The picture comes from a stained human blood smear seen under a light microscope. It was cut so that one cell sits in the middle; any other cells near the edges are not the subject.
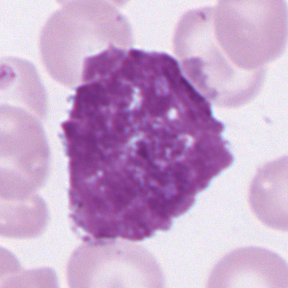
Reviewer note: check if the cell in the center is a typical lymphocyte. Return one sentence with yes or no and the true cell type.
No, not a typical lymphocyte: the cell in the middle of this crop is a smudge cell.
